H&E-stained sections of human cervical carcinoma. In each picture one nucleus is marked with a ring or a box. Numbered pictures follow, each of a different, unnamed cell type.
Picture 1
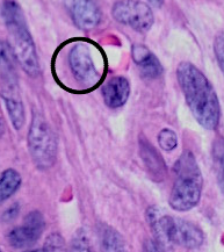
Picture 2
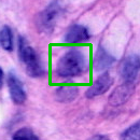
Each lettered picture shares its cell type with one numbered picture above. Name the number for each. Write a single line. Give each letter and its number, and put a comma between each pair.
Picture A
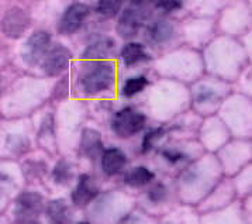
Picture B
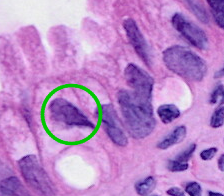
A 2, B 2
